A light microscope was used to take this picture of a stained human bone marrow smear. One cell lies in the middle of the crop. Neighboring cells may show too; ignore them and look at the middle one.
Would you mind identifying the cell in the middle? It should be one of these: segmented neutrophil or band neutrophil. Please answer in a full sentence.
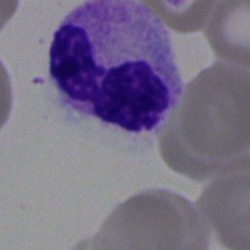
The cell around which this crop is centred is a segmented neutrophil.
